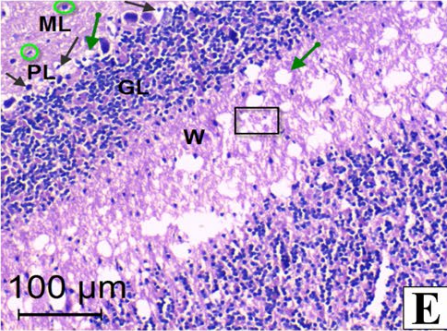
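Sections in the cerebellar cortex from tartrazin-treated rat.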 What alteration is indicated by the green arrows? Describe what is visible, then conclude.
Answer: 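Empty, clear round and irregular spaces in the pale central band. The band lacks the densely packed small nuclei found on either side.
Answer: vacuoles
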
